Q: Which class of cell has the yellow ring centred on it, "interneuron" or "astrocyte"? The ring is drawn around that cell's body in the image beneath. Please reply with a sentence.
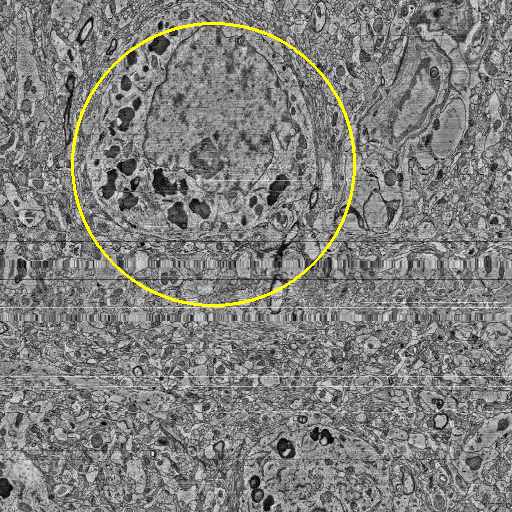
It is centred on an interneuron.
